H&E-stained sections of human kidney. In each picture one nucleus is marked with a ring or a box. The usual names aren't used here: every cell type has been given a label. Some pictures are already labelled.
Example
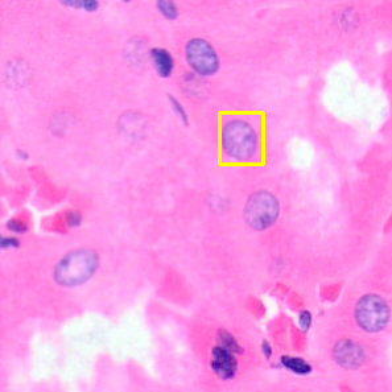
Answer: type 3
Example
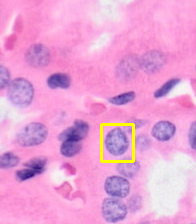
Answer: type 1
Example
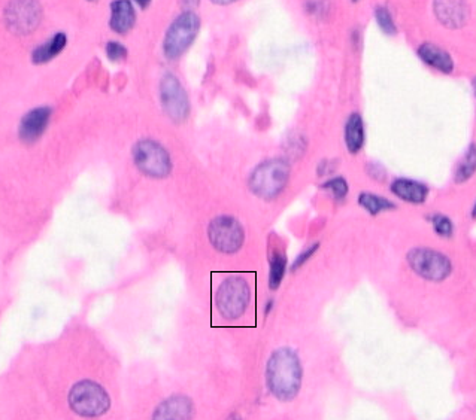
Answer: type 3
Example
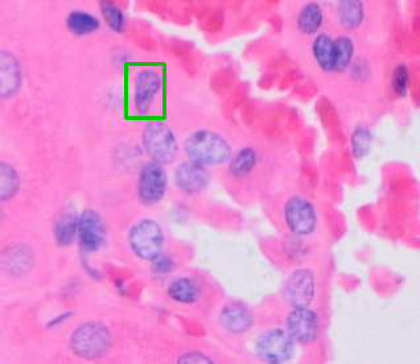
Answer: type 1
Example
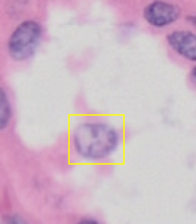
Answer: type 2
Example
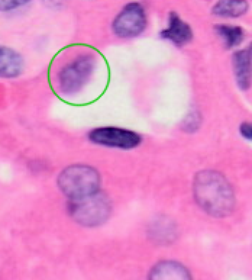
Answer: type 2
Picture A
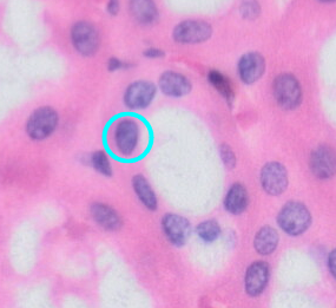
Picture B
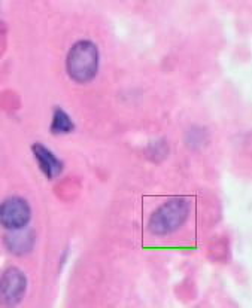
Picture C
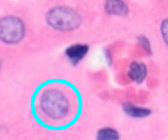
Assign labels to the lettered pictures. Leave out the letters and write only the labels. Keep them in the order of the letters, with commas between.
type 1, type 3, type 3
